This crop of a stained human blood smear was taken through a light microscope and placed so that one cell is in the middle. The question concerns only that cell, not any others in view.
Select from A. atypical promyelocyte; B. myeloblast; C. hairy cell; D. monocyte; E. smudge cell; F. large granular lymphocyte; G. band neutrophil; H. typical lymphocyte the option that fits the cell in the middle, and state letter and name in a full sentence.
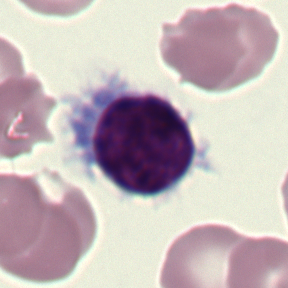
This one is option C, since the cell at the center is a hairy cell.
